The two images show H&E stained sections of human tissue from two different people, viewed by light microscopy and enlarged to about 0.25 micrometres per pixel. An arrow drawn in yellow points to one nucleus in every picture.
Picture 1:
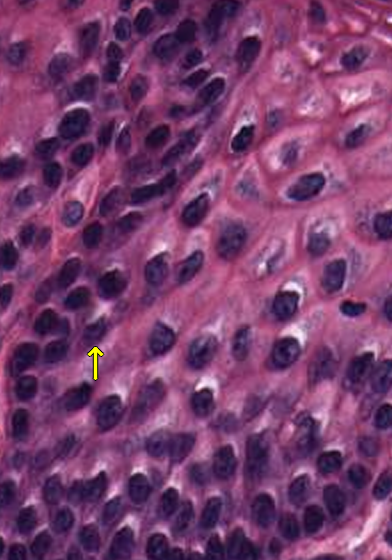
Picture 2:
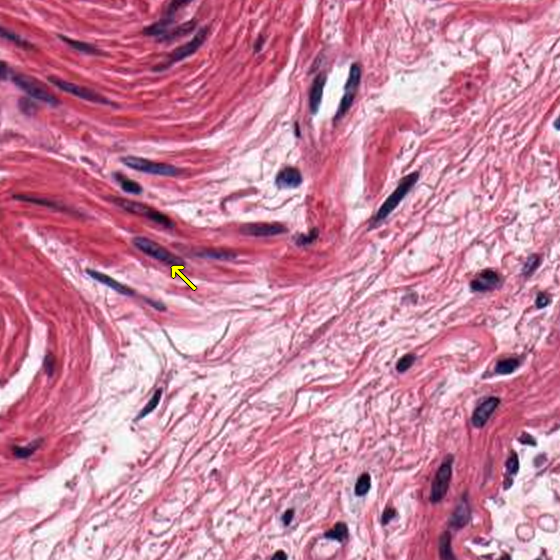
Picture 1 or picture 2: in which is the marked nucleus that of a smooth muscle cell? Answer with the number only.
2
